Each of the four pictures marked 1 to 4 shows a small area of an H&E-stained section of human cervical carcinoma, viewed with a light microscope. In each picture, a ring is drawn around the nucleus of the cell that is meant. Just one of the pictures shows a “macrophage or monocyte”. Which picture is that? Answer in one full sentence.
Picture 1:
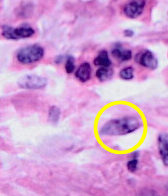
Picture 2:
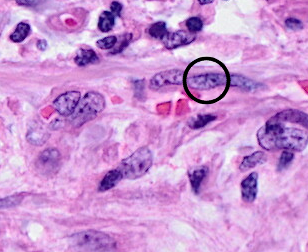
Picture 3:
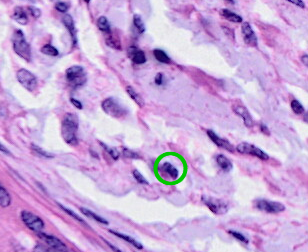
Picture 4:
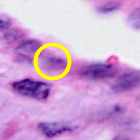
The cell in picture 1 is the “macrophage or monocyte”.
